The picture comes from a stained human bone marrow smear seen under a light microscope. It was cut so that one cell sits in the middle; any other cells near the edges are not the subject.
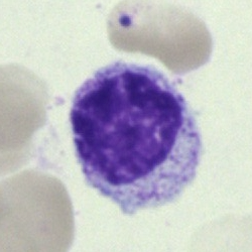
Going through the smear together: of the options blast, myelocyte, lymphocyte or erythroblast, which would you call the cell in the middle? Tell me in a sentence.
Answering briefly, the cell in the middle is a myelocyte.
